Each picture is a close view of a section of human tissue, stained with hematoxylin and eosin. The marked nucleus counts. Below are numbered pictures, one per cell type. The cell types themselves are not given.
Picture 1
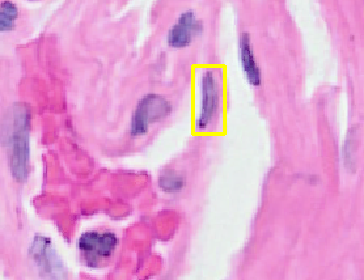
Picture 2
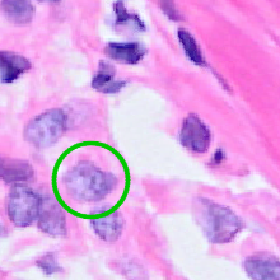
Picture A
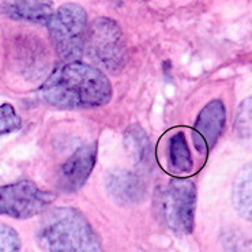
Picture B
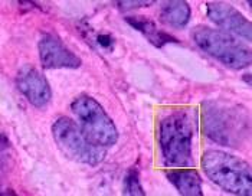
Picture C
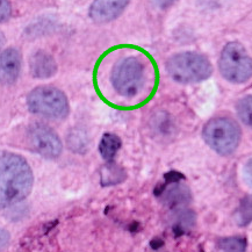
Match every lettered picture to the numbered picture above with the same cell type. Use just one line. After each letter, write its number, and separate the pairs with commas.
A 2, B 2, C 2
